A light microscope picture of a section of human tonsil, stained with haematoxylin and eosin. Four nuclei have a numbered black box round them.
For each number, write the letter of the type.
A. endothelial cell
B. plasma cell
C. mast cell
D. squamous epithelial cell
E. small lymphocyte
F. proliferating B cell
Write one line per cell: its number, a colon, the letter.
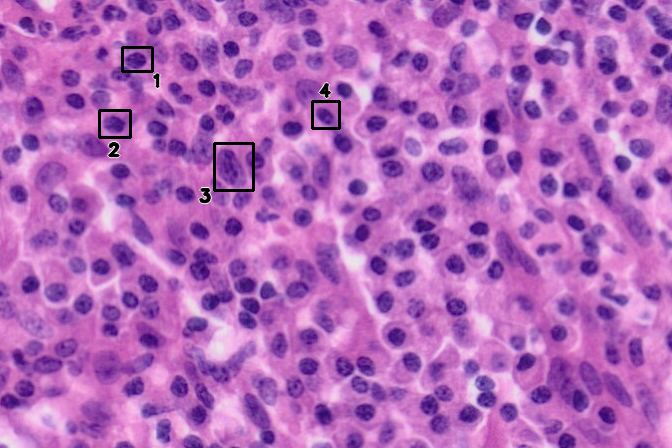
1: B
2: B
3: D
4: B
